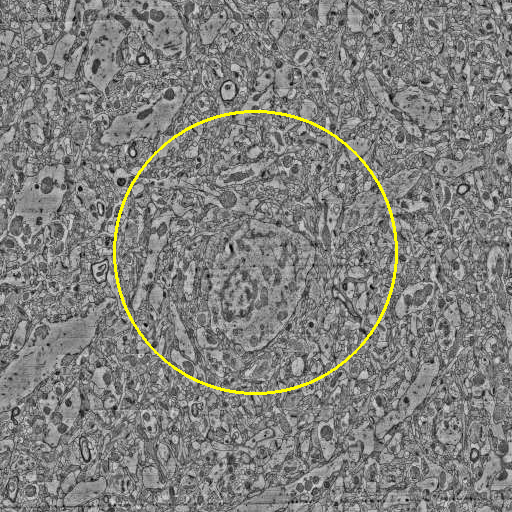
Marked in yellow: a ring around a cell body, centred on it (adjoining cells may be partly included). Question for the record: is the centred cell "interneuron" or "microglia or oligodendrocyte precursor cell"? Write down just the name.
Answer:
interneuron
